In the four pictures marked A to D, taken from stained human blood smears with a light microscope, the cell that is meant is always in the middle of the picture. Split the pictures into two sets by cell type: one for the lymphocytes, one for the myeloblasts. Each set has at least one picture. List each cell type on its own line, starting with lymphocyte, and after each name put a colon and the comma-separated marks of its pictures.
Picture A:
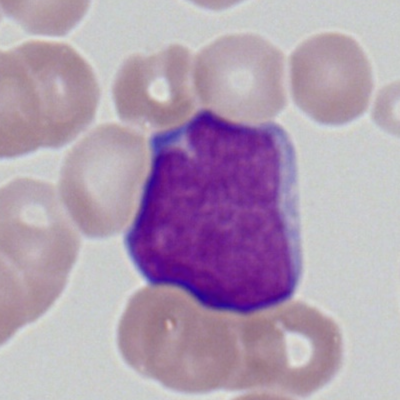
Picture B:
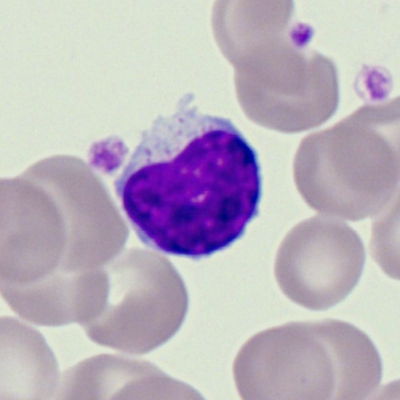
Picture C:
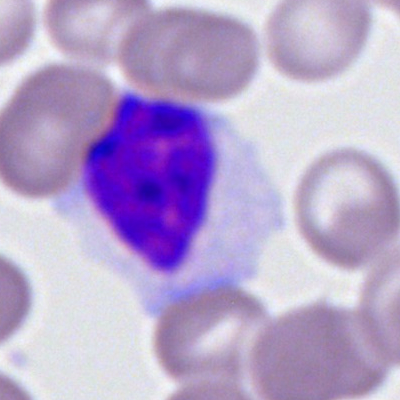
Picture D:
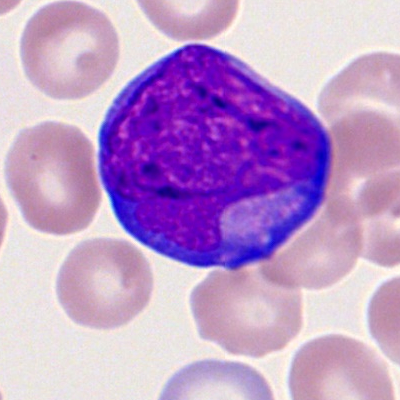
lymphocyte: B, C
myeloblast: A, D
